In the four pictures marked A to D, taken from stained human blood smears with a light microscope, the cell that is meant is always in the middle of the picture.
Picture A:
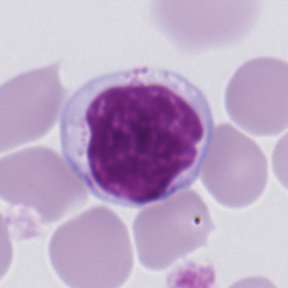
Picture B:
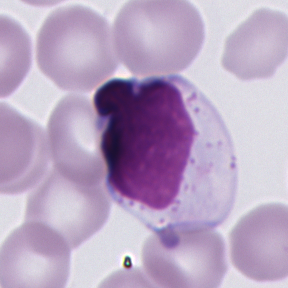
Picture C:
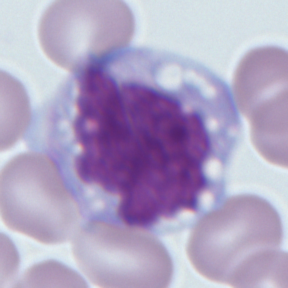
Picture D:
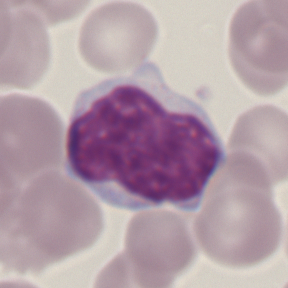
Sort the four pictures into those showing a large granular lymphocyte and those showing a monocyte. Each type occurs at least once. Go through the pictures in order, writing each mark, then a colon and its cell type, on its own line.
A: large granular lymphocyte
B: large granular lymphocyte
C: monocyte
D: large granular lymphocyte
